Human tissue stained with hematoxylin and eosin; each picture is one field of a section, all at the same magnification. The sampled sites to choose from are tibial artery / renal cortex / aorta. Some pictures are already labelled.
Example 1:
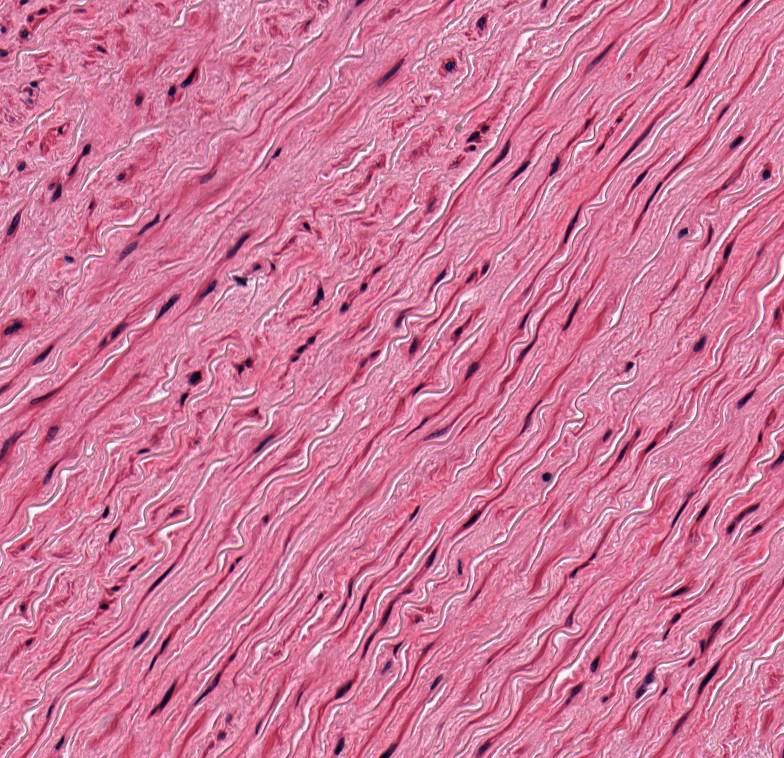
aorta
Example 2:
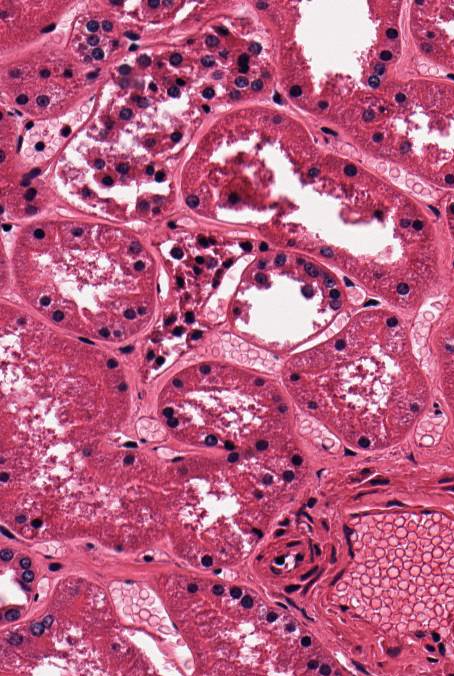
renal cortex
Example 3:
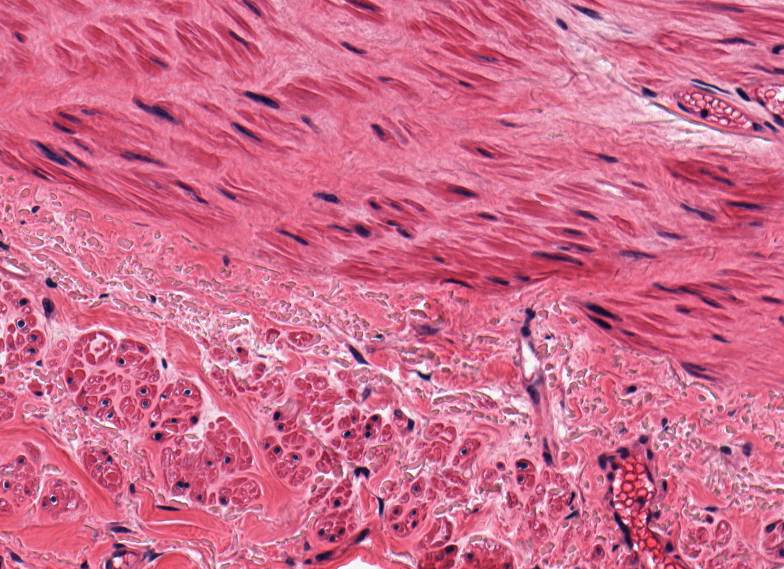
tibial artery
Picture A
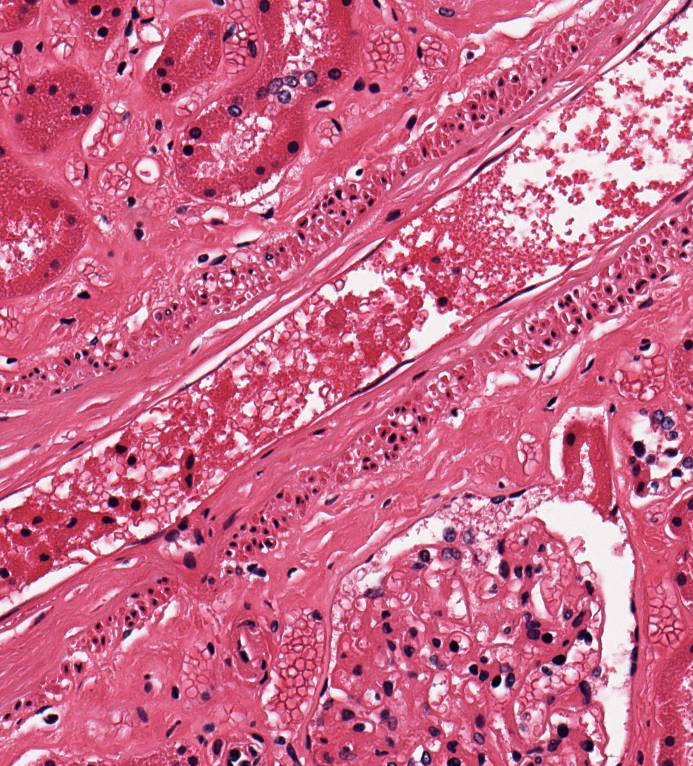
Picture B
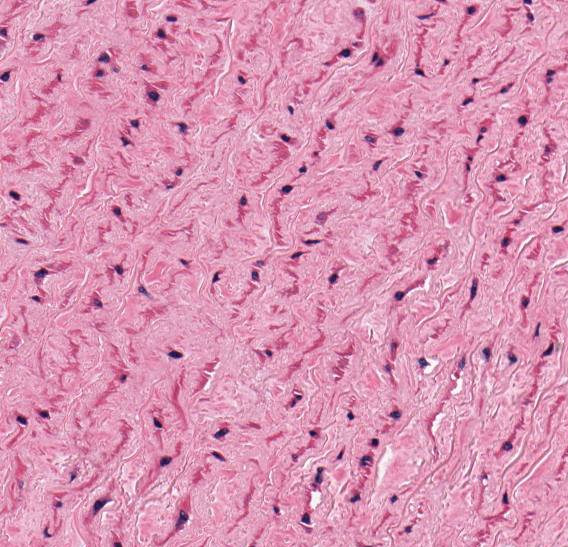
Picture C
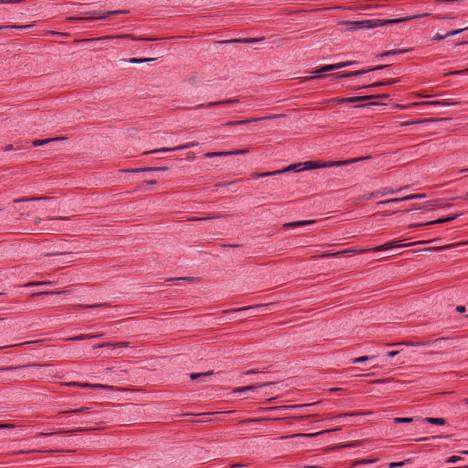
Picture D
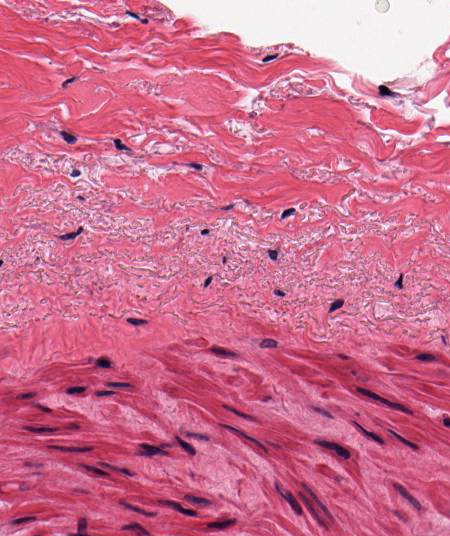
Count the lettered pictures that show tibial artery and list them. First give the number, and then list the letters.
2, namely C, D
